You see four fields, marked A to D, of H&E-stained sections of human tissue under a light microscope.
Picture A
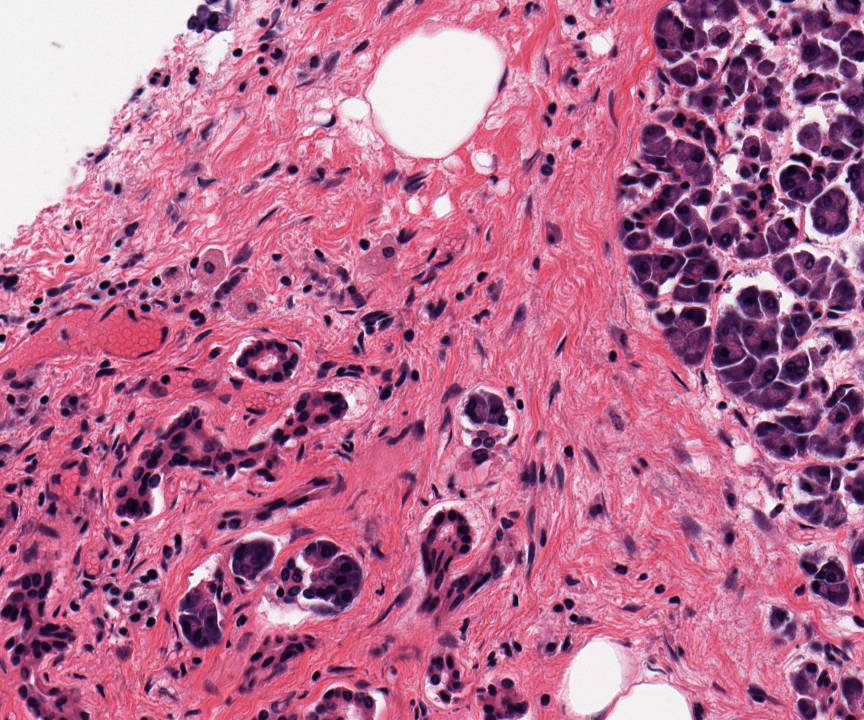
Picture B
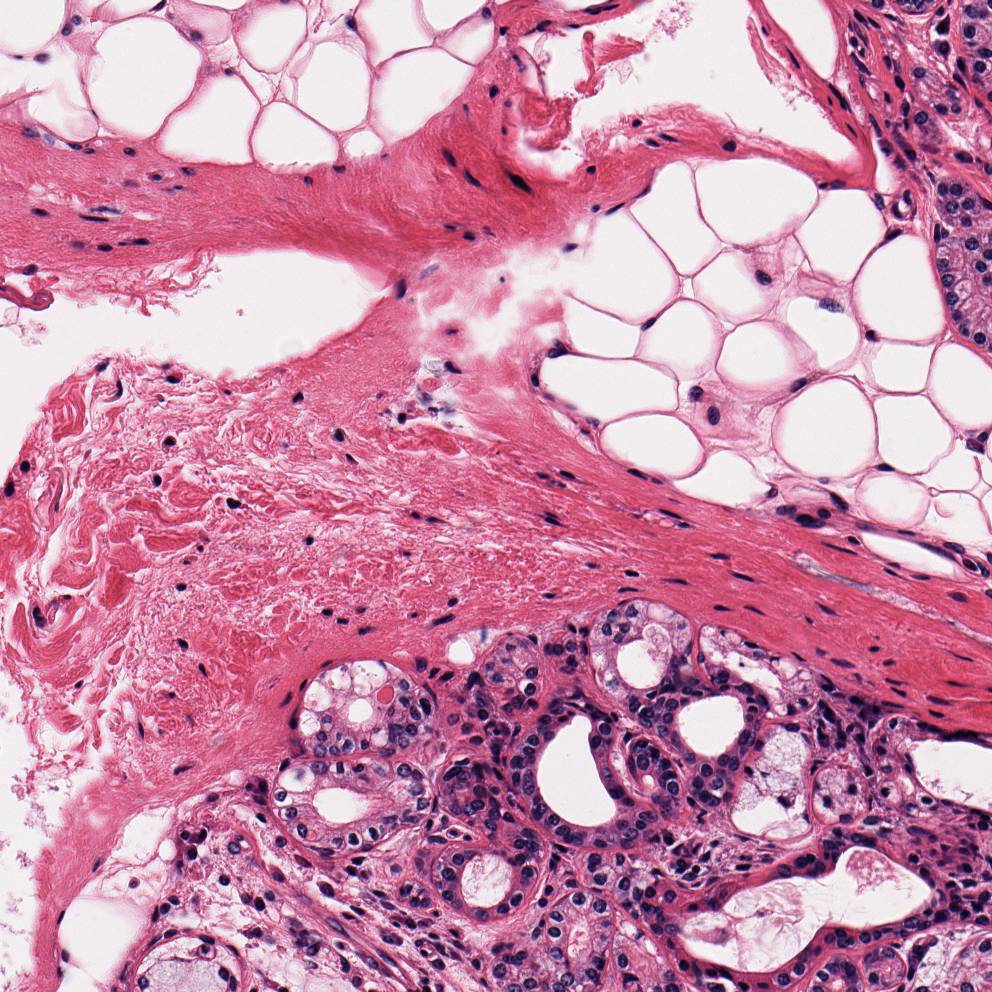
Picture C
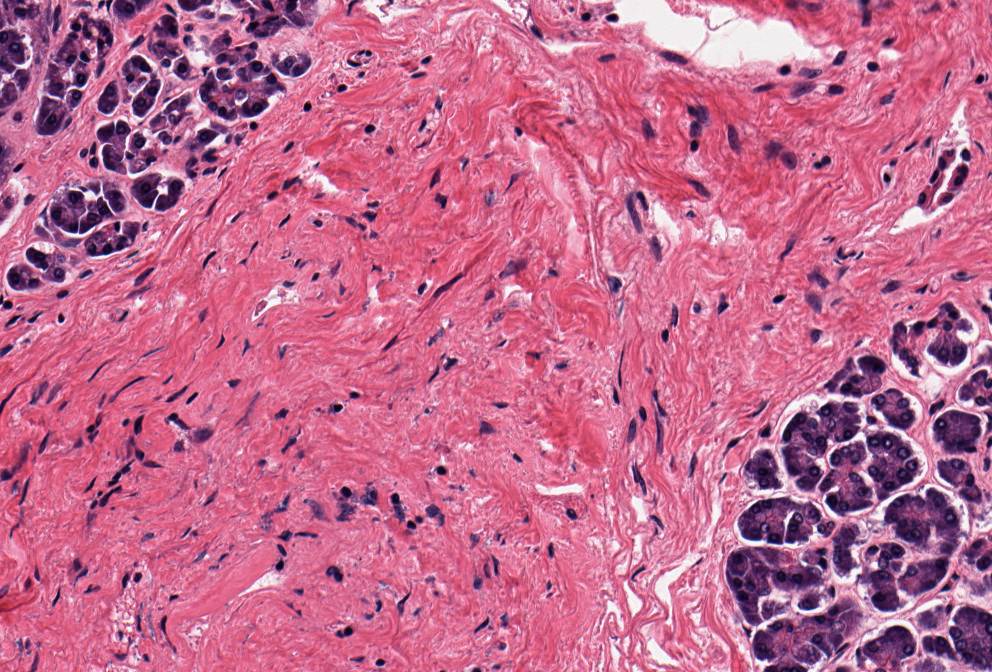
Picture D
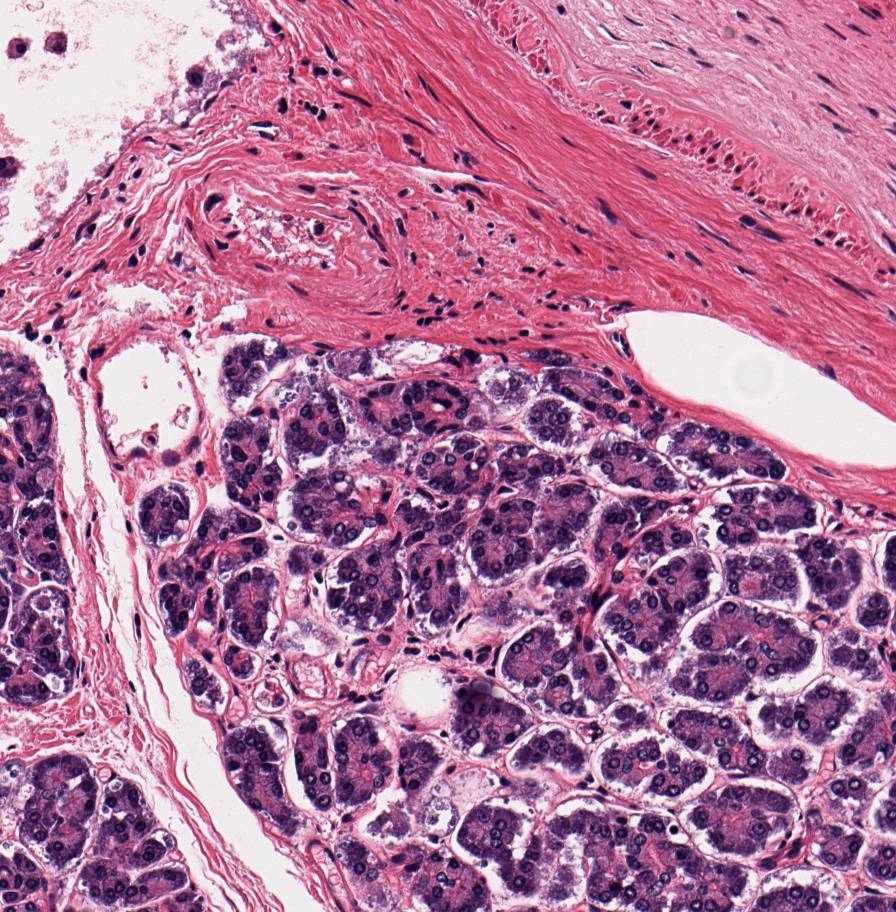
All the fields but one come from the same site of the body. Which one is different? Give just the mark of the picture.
B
